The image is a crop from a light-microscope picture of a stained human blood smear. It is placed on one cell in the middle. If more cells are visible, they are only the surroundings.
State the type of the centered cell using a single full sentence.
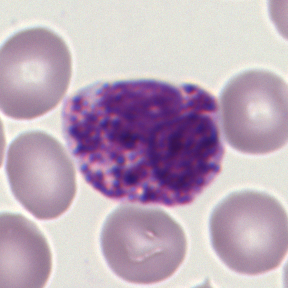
Among the cells in view, the one in the middle is a basophil.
